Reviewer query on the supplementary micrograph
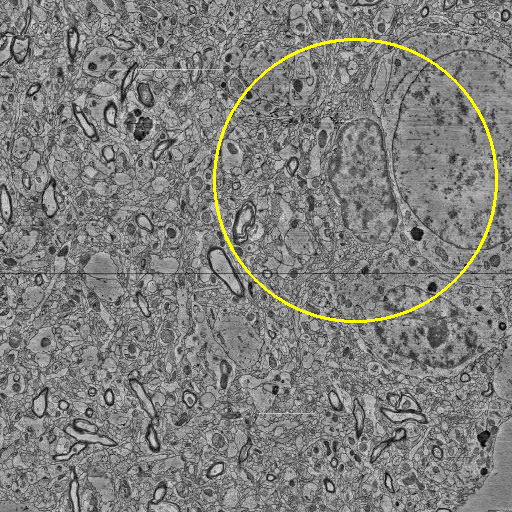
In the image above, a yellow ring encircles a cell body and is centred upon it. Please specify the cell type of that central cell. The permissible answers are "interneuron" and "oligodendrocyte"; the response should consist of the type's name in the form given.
oligodendrocyte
